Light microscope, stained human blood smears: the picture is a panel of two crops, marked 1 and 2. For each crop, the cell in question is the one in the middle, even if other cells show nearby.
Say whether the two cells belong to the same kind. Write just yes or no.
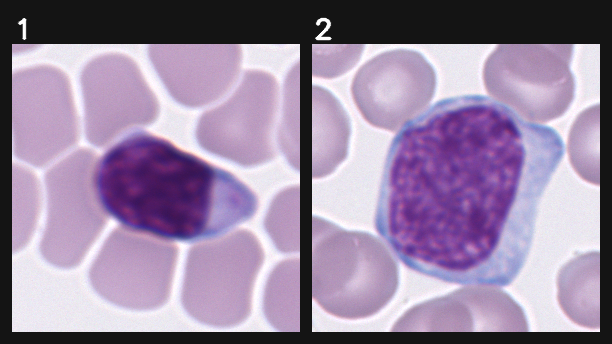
no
